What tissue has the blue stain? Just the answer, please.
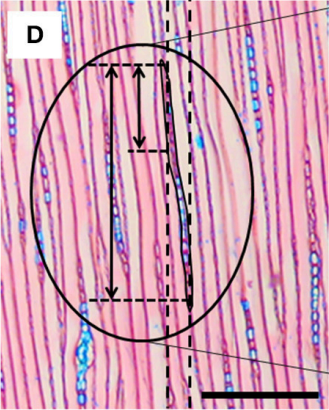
Rays.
